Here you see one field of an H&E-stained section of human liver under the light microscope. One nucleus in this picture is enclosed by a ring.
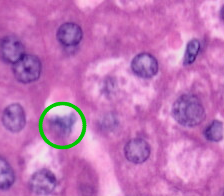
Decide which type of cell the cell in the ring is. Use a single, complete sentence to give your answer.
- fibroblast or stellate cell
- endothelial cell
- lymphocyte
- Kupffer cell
In the stained section, the cell in the ring is an endothelial cell.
